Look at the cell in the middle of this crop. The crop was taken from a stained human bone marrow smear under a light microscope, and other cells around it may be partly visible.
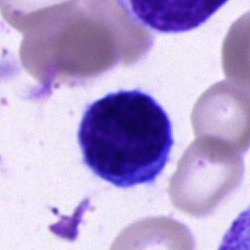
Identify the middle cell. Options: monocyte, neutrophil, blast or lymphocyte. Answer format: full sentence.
In the centre of this crop there is a lymphocyte.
